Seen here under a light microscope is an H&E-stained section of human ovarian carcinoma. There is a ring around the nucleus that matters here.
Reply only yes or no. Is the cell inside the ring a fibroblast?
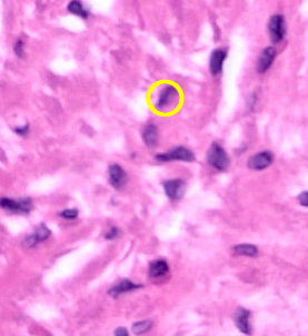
yes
